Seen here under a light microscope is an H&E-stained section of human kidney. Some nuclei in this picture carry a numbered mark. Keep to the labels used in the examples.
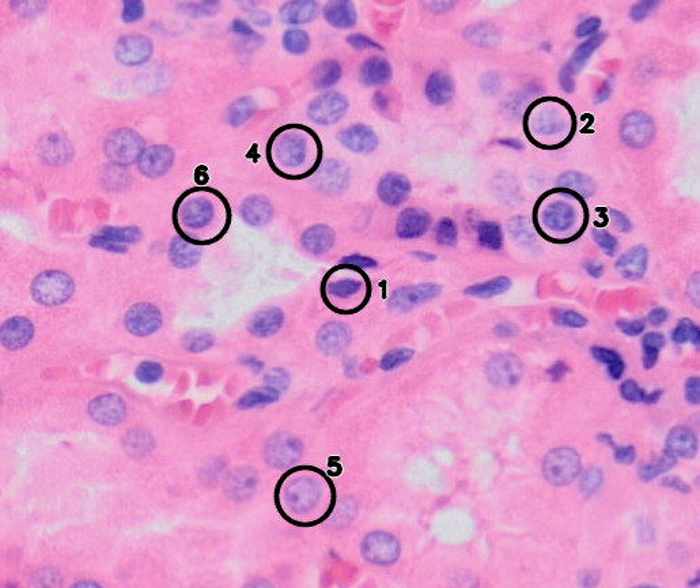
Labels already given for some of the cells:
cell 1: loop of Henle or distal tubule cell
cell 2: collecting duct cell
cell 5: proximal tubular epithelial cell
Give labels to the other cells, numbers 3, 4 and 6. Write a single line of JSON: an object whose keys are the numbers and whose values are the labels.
{"3": "collecting duct cell", "4": "collecting duct cell", "6": "loop of Henle or distal tubule cell"}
